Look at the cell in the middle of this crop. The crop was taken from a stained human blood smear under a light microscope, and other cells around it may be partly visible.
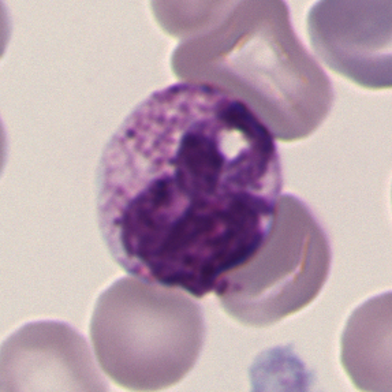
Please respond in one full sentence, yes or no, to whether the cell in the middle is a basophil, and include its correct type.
Yes, the cell found in the middle is a basophil.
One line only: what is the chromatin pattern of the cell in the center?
Heads up, the chromatin in this one is coarsely clumped.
